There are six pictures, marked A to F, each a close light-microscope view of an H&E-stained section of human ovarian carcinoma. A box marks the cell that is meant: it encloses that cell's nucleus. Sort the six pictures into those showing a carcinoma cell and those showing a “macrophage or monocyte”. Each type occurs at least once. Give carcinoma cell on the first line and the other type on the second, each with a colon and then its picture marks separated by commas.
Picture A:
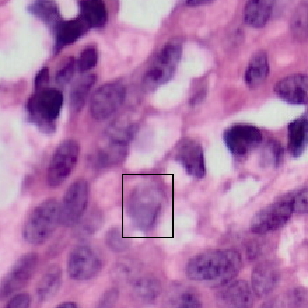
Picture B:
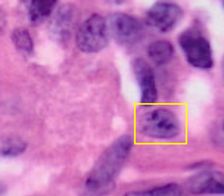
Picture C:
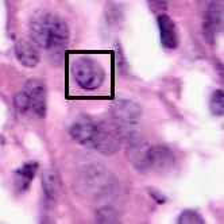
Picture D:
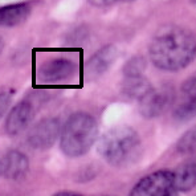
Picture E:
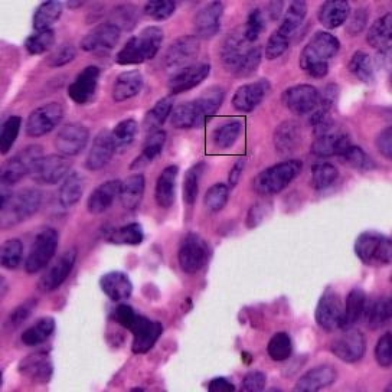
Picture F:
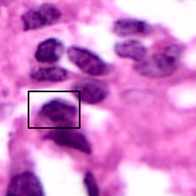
carcinoma cell: A, D, F
macrophage or monocyte: B, C, E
